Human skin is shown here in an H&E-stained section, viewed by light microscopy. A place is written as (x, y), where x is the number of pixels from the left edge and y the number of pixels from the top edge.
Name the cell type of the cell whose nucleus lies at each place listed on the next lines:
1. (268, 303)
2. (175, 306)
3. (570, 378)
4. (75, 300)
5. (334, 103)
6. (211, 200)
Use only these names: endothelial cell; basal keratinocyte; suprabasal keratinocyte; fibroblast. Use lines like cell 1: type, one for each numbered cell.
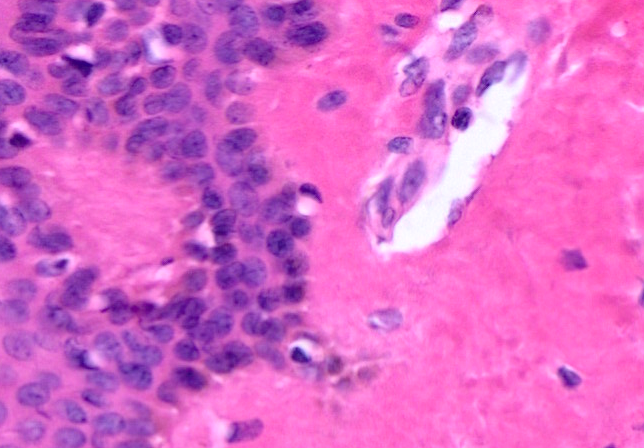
cell 1: basal keratinocyte
cell 2: basal keratinocyte
cell 3: fibroblast
cell 4: basal keratinocyte
cell 5: fibroblast
cell 6: basal keratinocyte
